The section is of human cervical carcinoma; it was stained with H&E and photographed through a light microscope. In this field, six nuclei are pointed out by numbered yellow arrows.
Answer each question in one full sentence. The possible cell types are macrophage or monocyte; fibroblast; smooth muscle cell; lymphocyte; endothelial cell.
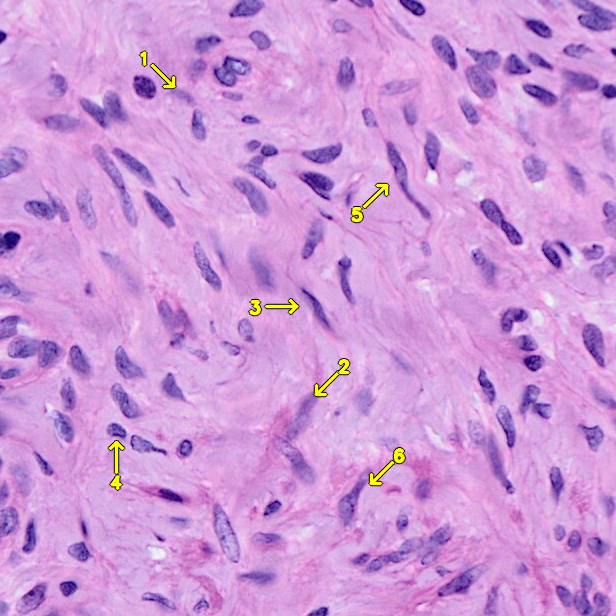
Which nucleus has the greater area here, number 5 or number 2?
Nucleus 5 is the larger one, covering about 2 times the area of nucleus 2.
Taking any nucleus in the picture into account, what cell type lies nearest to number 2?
It is a smooth muscle cell whose nucleus is nearest to number 2.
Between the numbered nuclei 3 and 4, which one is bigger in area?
Nucleus 3 covers more area, about 2 times as much as nucleus 4.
